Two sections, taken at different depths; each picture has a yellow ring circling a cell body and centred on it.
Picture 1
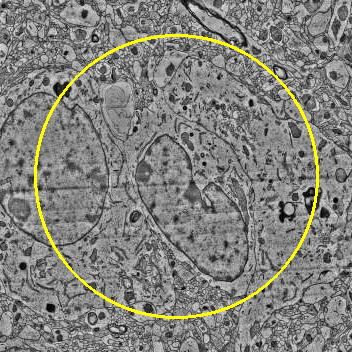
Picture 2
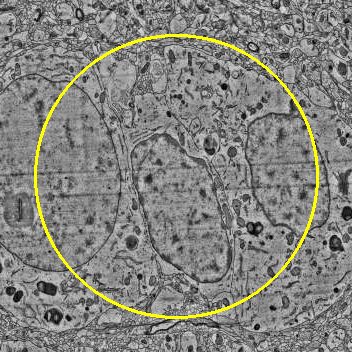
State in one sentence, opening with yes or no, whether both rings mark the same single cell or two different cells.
Yes, one single cell is under each of the two rings.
